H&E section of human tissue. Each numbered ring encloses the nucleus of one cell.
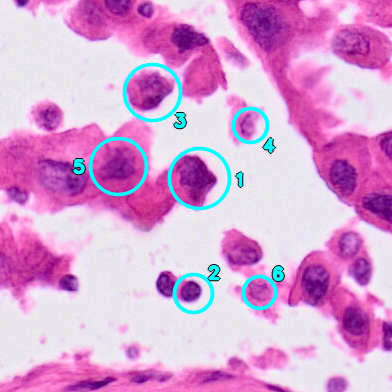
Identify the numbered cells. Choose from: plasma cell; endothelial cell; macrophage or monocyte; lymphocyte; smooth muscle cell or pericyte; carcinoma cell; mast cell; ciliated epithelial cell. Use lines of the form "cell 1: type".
cell 1: carcinoma cell
cell 2: lymphocyte
cell 3: carcinoma cell
cell 4: macrophage or monocyte
cell 5: carcinoma cell
cell 6: macrophage or monocyte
